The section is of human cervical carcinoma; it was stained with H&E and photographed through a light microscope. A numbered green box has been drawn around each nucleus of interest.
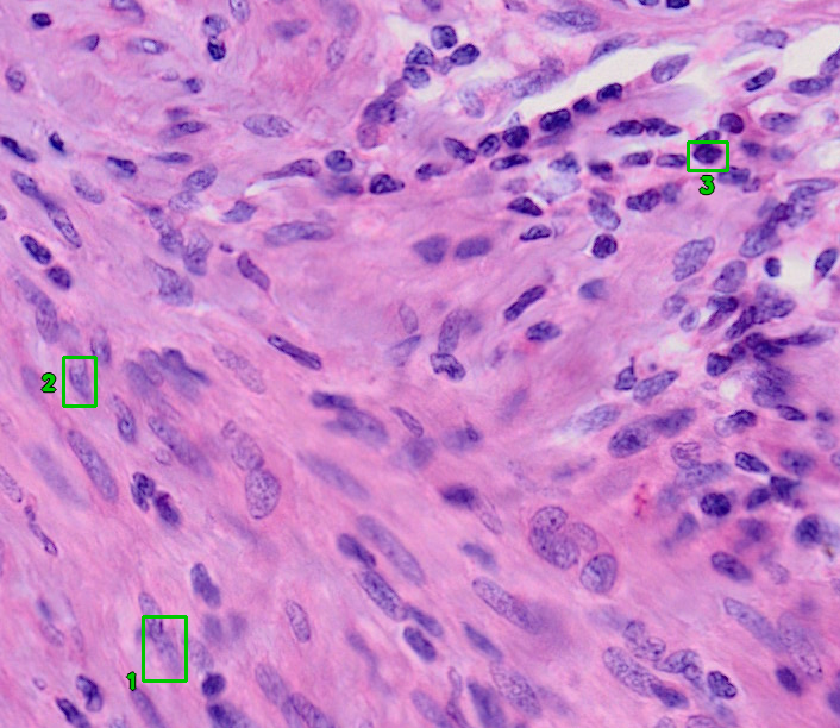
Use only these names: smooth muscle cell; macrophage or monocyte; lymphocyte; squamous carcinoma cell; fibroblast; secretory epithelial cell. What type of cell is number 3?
lymphocyte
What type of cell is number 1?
smooth muscle cell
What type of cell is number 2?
smooth muscle cell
